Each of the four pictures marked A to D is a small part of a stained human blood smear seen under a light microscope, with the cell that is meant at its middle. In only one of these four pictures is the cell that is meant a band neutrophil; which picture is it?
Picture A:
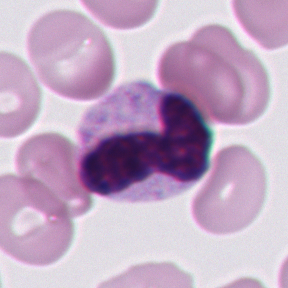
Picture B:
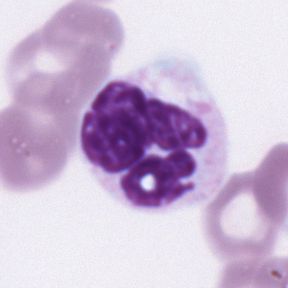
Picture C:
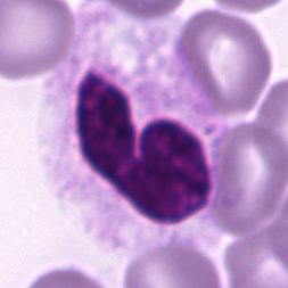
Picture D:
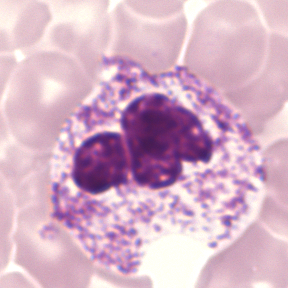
C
